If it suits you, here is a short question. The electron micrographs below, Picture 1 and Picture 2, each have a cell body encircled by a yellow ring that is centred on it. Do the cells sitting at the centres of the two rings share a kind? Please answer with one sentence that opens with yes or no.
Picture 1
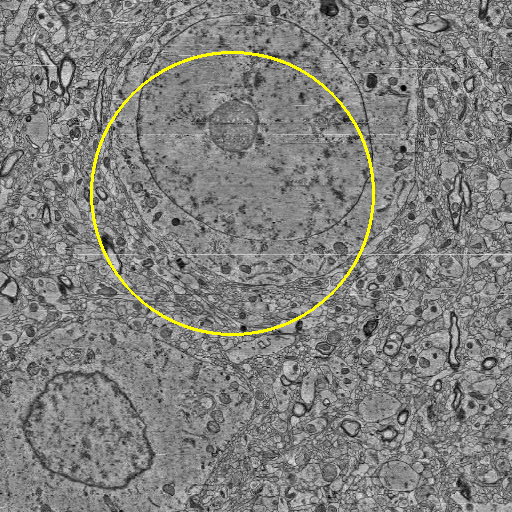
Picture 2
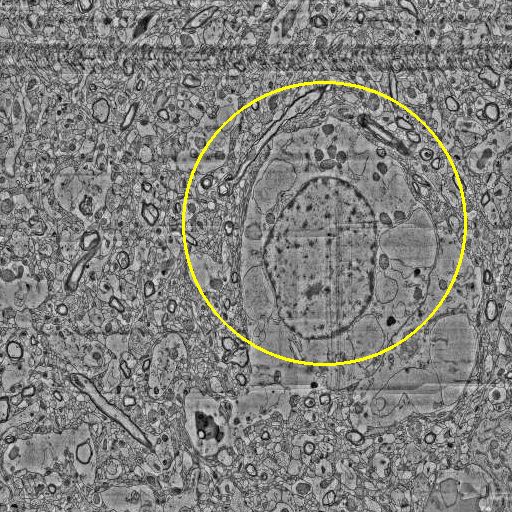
No, the two cells sitting at the ring centres fall into two kinds.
